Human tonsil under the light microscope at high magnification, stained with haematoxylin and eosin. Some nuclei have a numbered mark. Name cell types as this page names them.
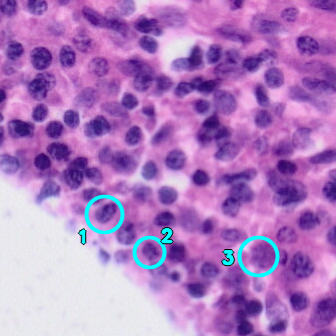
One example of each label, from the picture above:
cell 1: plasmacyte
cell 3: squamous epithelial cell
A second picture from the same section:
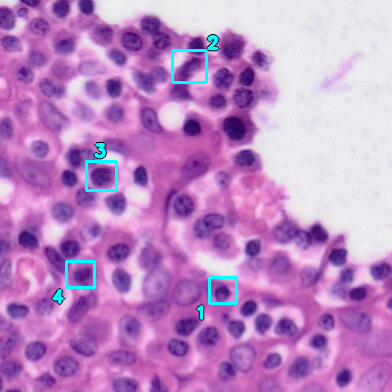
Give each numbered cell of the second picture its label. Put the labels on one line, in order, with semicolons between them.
squamous epithelial cell; squamous epithelial cell; plasmacyte; plasmacyte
